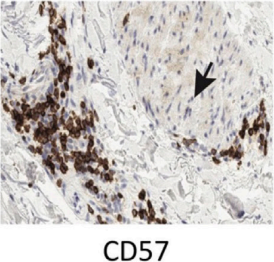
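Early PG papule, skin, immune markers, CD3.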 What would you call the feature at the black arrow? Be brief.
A: Arrector pili muscle.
